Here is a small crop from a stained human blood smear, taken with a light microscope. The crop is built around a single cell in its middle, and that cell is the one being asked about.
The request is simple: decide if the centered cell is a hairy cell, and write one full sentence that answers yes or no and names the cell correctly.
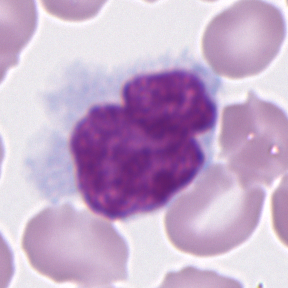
Yes, what sits in the middle of the crop is a hairy cell.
